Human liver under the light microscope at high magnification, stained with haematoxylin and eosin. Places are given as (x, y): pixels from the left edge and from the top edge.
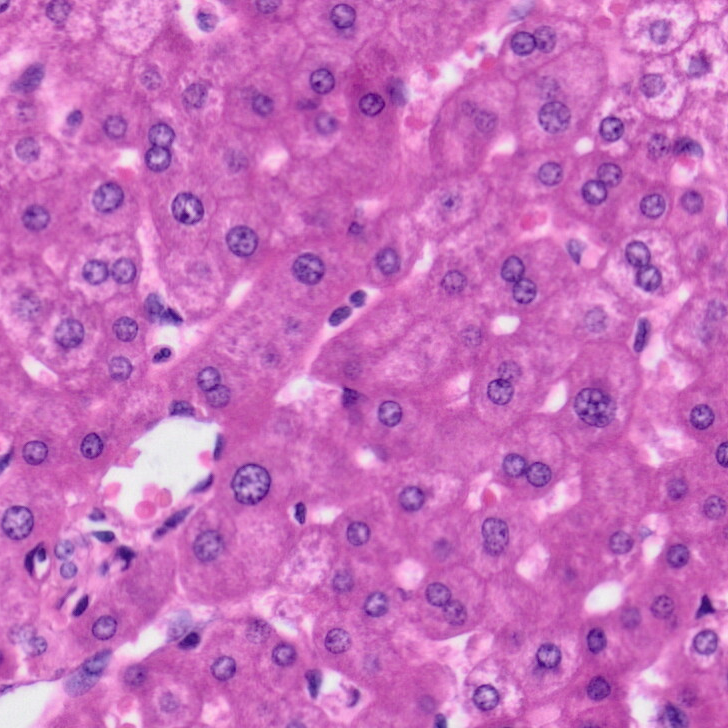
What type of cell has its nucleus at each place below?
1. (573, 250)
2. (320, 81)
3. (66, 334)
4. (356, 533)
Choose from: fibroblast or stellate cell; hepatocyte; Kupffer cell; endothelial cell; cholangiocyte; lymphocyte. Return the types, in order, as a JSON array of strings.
["endothelial cell", "hepatocyte", "hepatocyte", "hepatocyte"]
